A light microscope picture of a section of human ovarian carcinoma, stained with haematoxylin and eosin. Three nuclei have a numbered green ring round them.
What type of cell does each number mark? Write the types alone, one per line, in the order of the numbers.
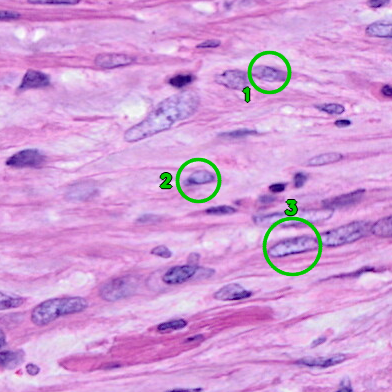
fibroblast
fibroblast
endothelial cell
